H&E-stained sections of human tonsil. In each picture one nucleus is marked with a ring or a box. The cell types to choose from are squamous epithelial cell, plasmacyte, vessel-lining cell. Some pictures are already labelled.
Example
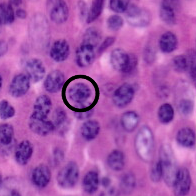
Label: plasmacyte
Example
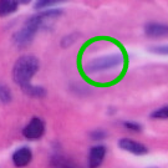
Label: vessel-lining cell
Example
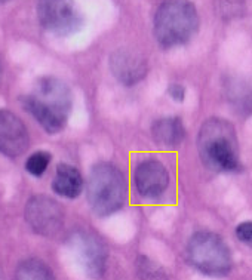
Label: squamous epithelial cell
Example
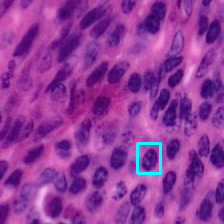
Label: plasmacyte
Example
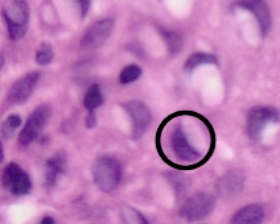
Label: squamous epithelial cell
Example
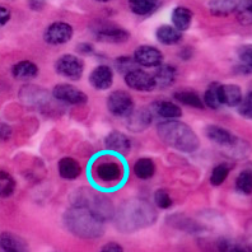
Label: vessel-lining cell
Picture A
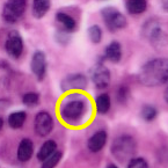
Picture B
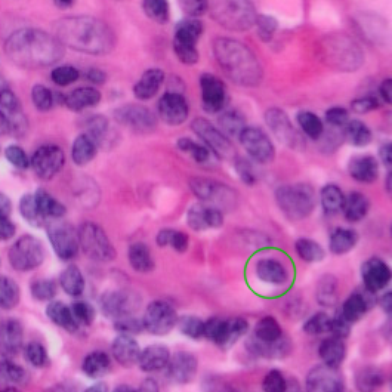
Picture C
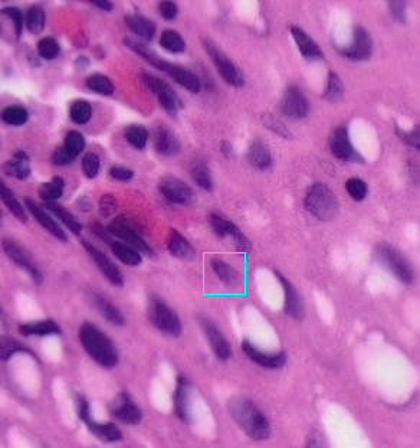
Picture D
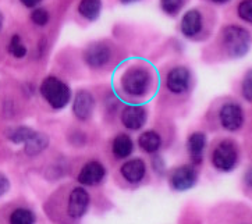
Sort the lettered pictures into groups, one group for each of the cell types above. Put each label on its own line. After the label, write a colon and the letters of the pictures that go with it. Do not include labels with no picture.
squamous epithelial cell: C
plasmacyte: A, D
vessel-lining cell: B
